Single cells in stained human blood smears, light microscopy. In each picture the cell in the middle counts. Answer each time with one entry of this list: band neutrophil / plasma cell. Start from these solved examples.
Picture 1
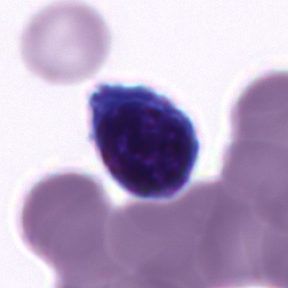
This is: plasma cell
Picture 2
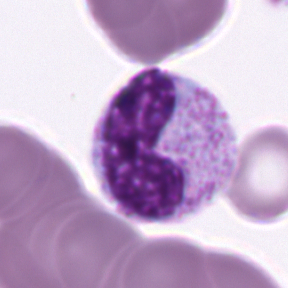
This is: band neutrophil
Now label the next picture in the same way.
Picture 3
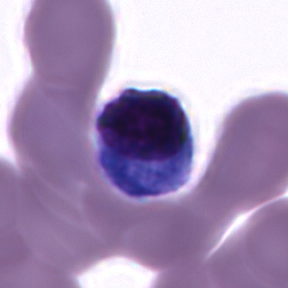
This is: plasma cell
